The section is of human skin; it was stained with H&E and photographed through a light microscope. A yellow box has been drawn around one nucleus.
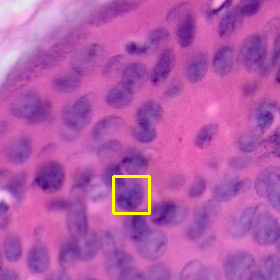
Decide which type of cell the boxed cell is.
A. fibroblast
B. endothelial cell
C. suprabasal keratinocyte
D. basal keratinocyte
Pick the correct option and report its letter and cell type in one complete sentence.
Of all the options, D is right, since the boxed cell is a basal keratinocyte.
